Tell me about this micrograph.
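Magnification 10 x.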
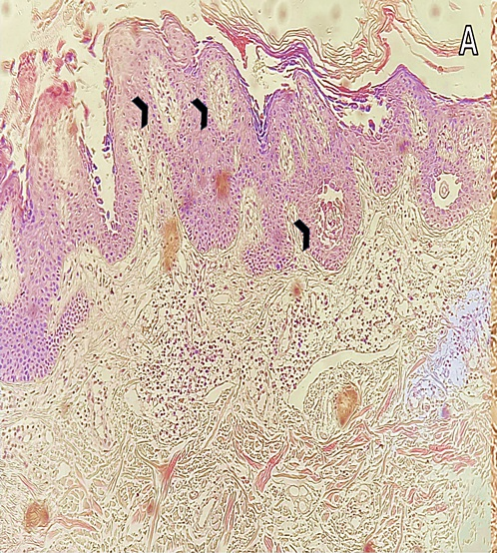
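This is skin with a thickened, purple-staining epidermis under a pink layer of flaky keratin, over a paler pink dermis. Elongated pale spaces and papilla-like projections extend up into the epidermis, and the keratin surface is irregular. Scattered small purple nuclei of inflammatory cells lie in the upper dermis beneath the epidermis.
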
